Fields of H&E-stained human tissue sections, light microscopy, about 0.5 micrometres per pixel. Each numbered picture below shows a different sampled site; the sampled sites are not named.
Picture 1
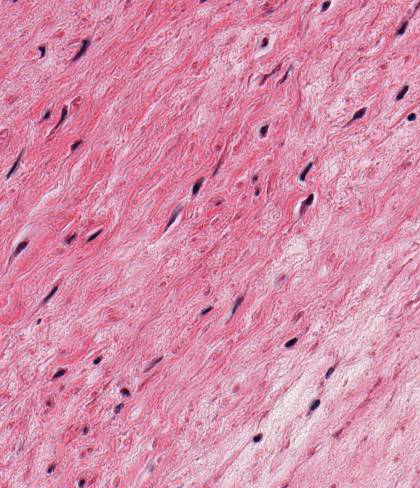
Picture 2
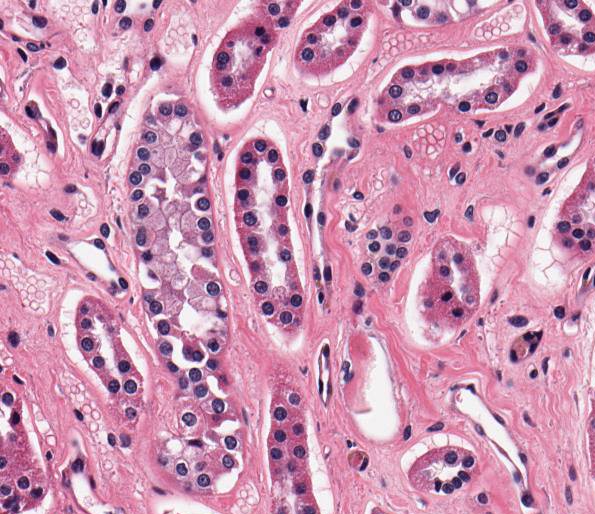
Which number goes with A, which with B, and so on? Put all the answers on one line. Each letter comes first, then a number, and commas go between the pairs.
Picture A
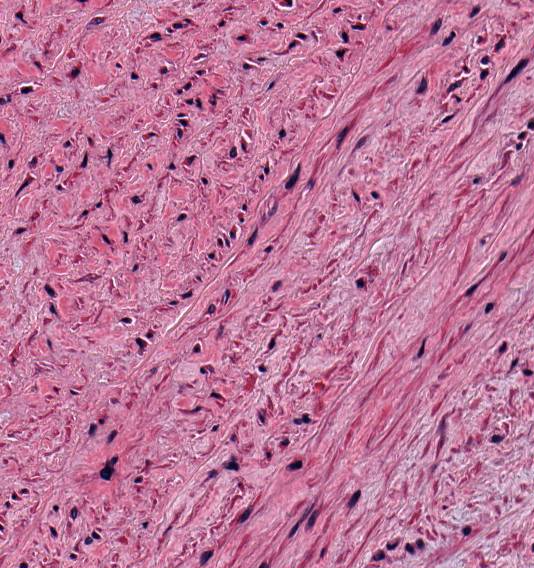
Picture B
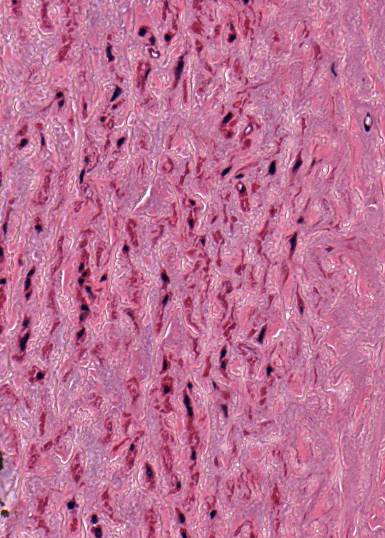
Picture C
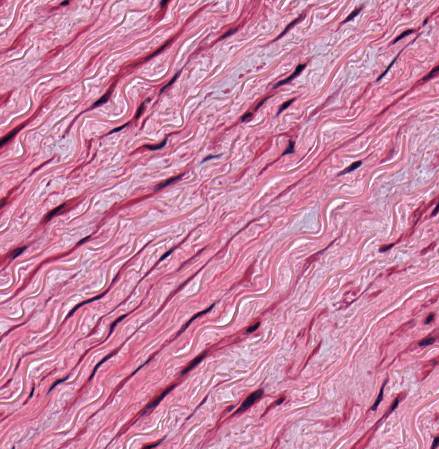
A 1, B 1, C 1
